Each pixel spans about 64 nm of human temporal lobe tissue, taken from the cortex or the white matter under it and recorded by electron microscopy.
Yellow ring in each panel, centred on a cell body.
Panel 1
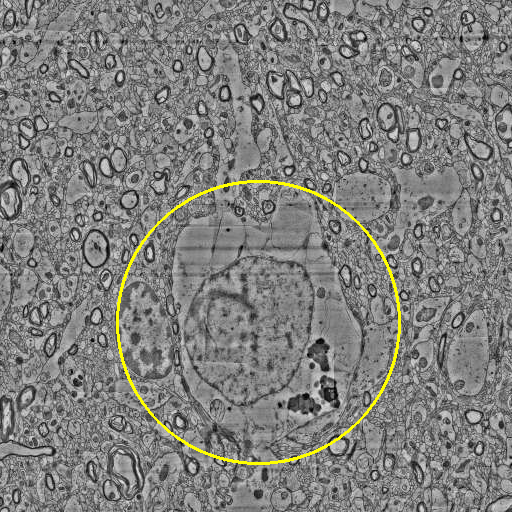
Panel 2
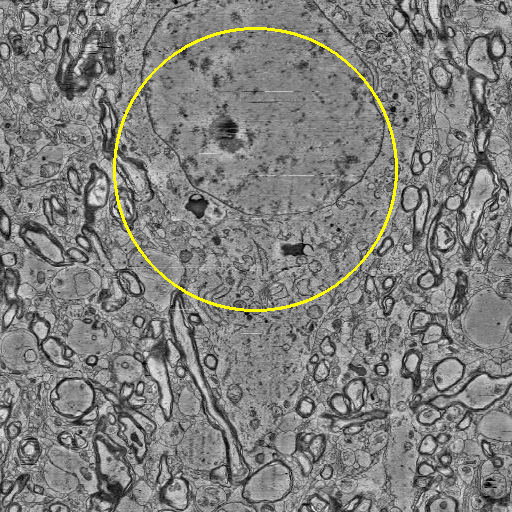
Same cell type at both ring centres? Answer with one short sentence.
No, the two cells are of two types.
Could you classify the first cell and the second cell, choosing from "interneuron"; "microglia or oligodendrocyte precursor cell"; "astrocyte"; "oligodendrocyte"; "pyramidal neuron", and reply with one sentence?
The second cell is a pyramidal neuron, while the first is an astrocyte.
